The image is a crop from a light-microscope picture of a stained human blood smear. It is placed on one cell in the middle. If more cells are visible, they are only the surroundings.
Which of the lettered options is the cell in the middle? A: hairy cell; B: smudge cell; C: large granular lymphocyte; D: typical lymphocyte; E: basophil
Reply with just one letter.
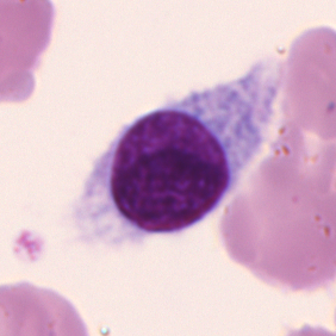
A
